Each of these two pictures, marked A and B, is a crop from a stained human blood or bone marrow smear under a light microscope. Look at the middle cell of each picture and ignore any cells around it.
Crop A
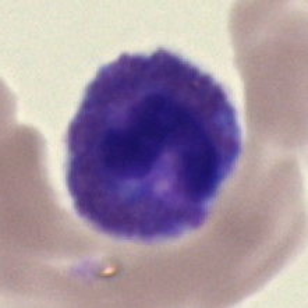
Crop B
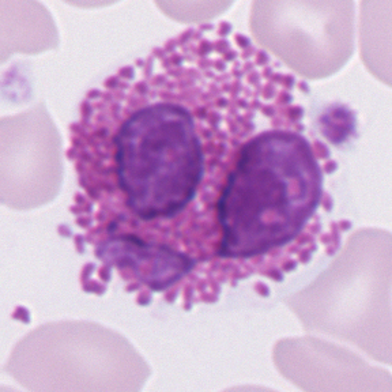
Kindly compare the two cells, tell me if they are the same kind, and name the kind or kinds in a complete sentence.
Yes, both crops show eosinophils in the middle.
